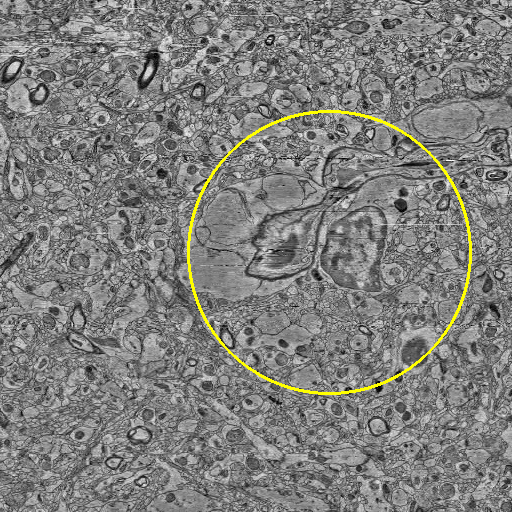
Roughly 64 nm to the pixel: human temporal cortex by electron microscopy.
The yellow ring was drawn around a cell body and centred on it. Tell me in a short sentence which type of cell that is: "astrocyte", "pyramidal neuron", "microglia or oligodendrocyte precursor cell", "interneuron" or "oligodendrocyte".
The cell at the ring's centre is a microglial cell or oligodendrocyte precursor cell.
